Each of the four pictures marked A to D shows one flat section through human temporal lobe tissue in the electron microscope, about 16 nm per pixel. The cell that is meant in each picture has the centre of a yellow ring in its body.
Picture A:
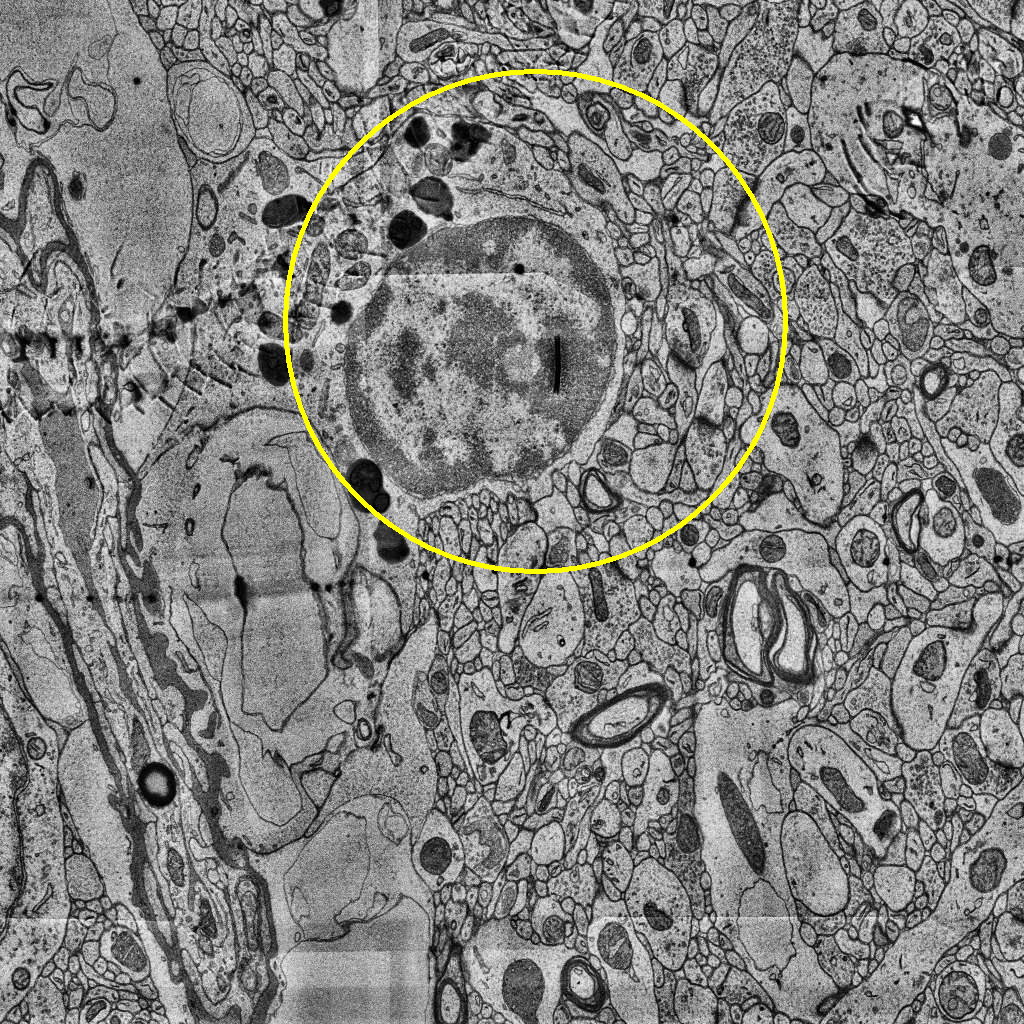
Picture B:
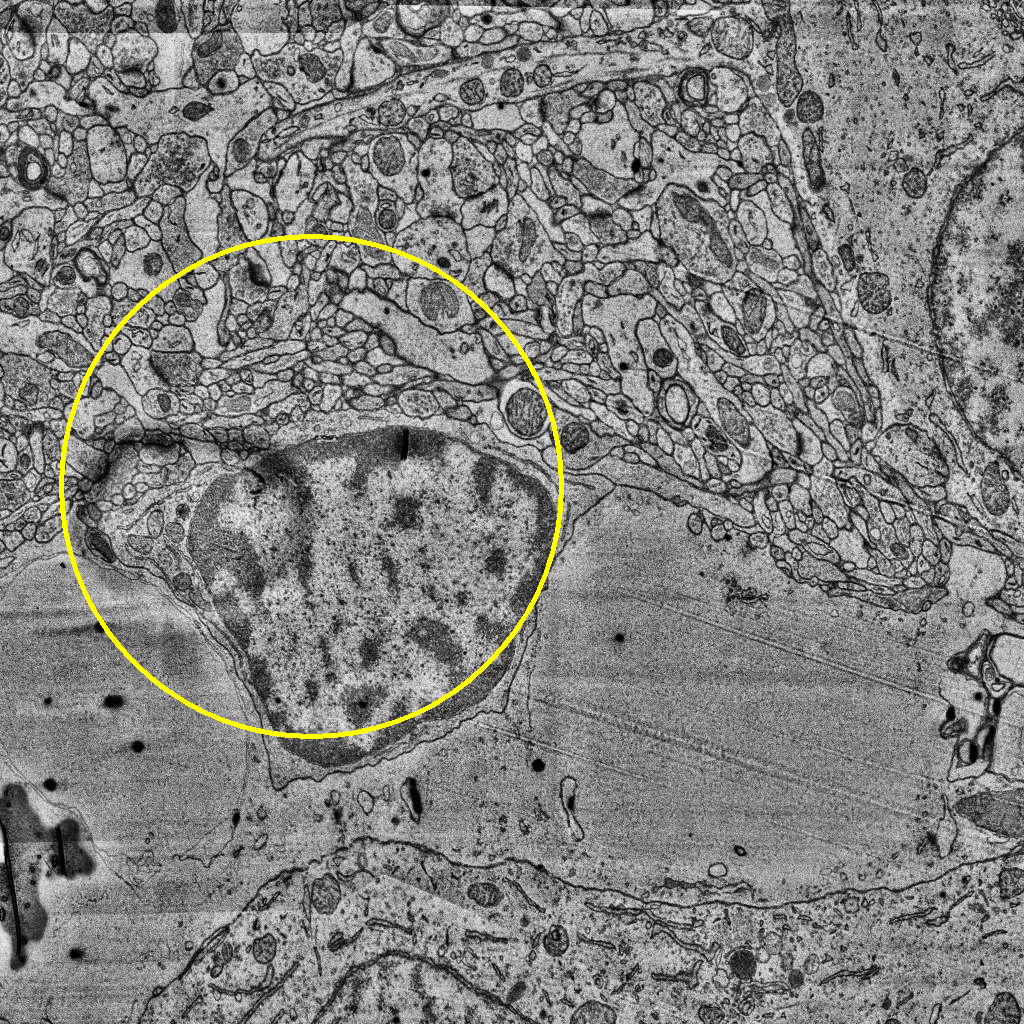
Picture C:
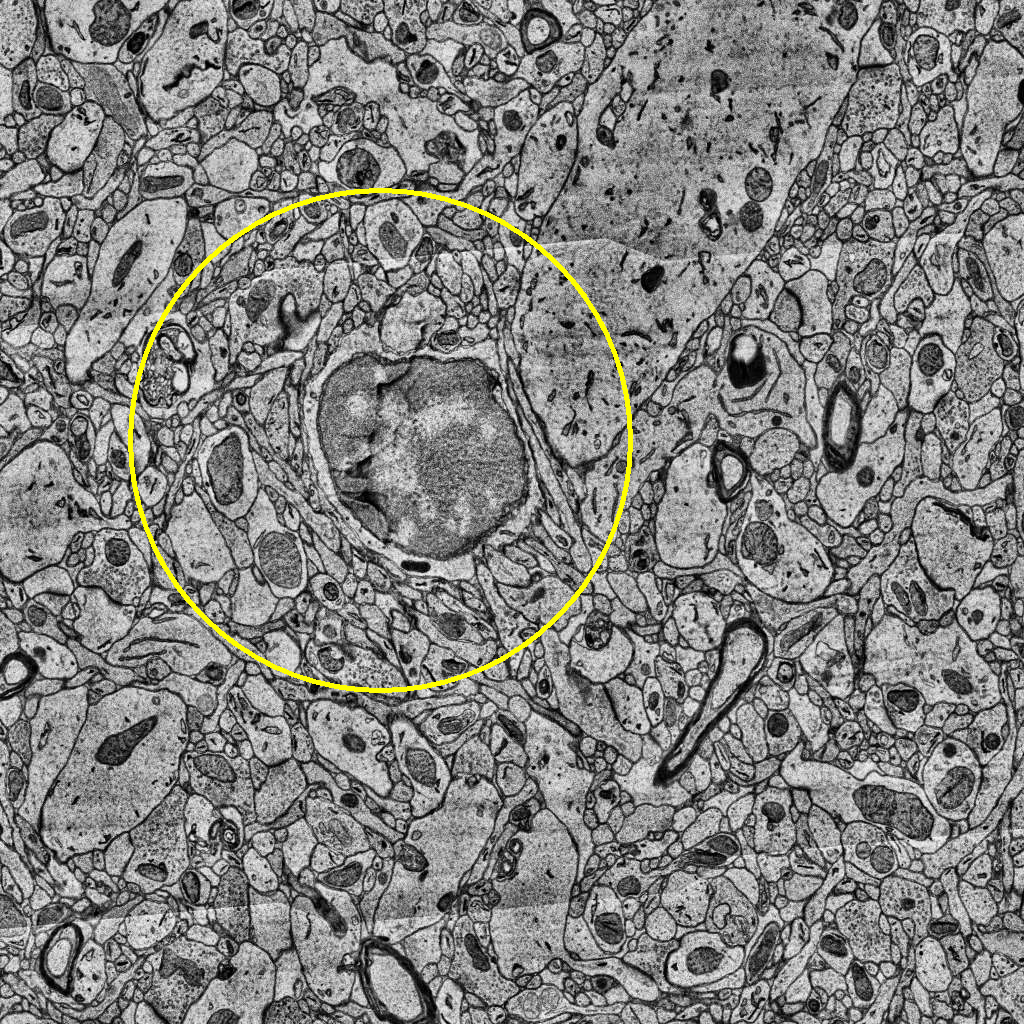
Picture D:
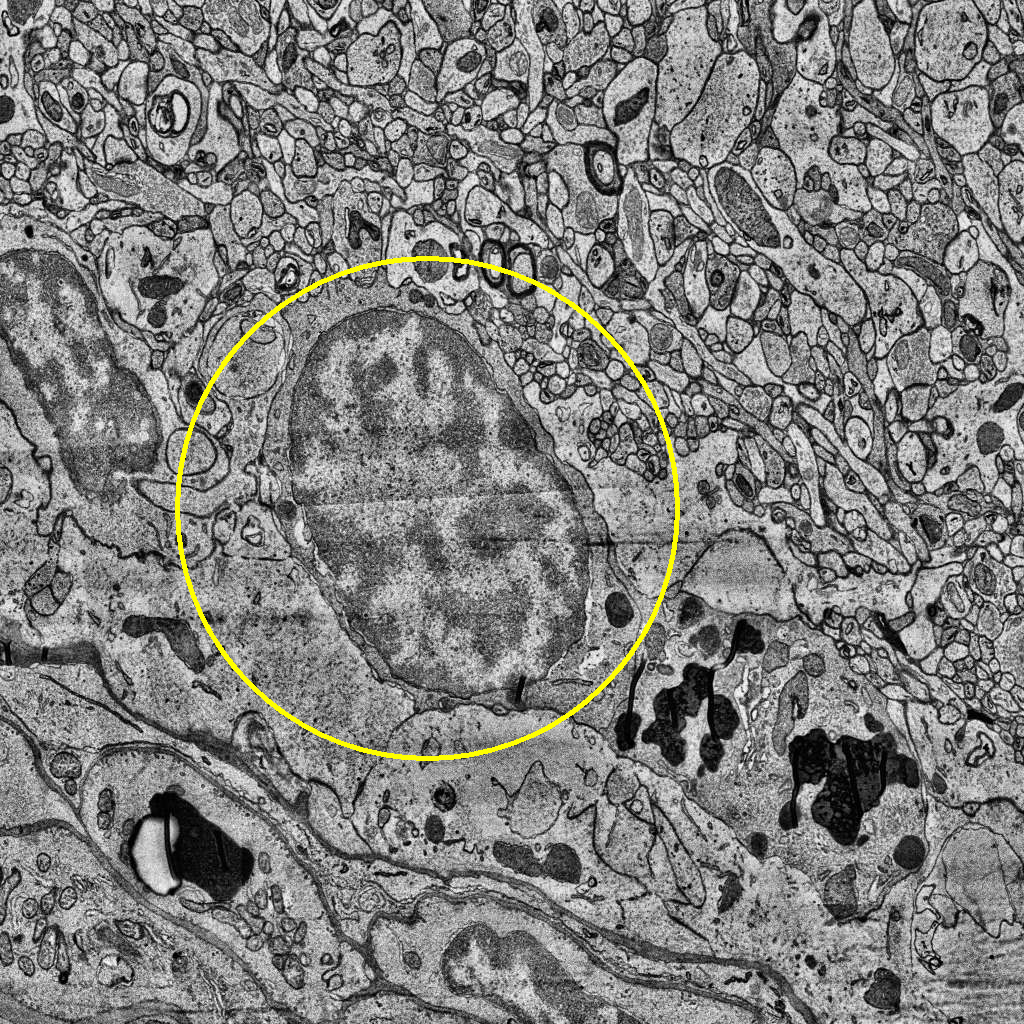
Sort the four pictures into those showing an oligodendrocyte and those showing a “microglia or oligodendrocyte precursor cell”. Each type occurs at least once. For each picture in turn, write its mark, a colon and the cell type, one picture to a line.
A: microglia or oligodendrocyte precursor cell
B: microglia or oligodendrocyte precursor cell
C: microglia or oligodendrocyte precursor cell
D: oligodendrocyte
